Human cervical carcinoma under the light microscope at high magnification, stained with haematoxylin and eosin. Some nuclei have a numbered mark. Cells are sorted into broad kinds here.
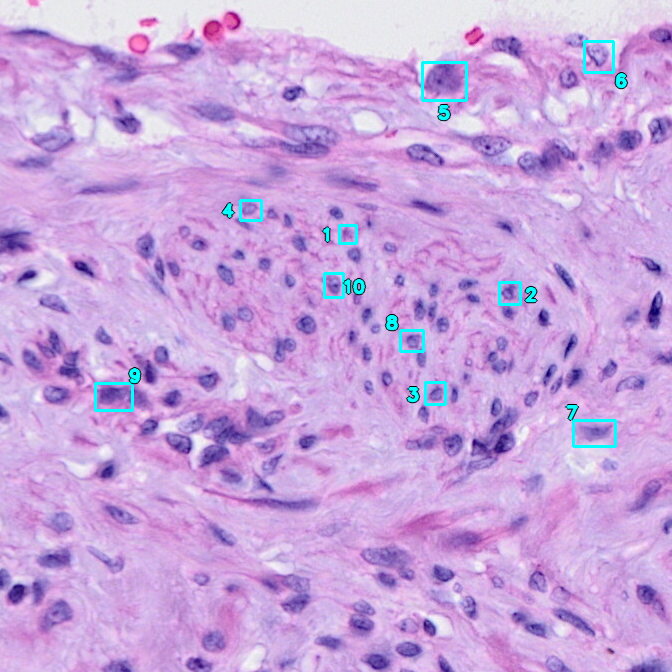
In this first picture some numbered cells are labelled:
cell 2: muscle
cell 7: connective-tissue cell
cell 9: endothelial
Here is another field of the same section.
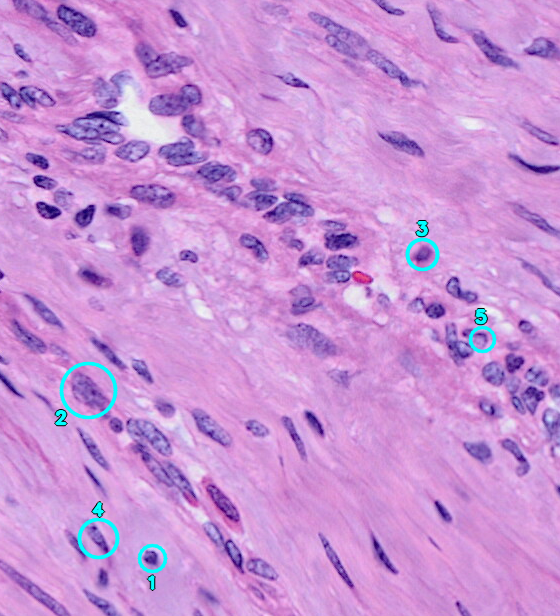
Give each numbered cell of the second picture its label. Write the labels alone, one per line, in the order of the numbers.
connective-tissue cell
endothelial
muscle
connective-tissue cell
endothelial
